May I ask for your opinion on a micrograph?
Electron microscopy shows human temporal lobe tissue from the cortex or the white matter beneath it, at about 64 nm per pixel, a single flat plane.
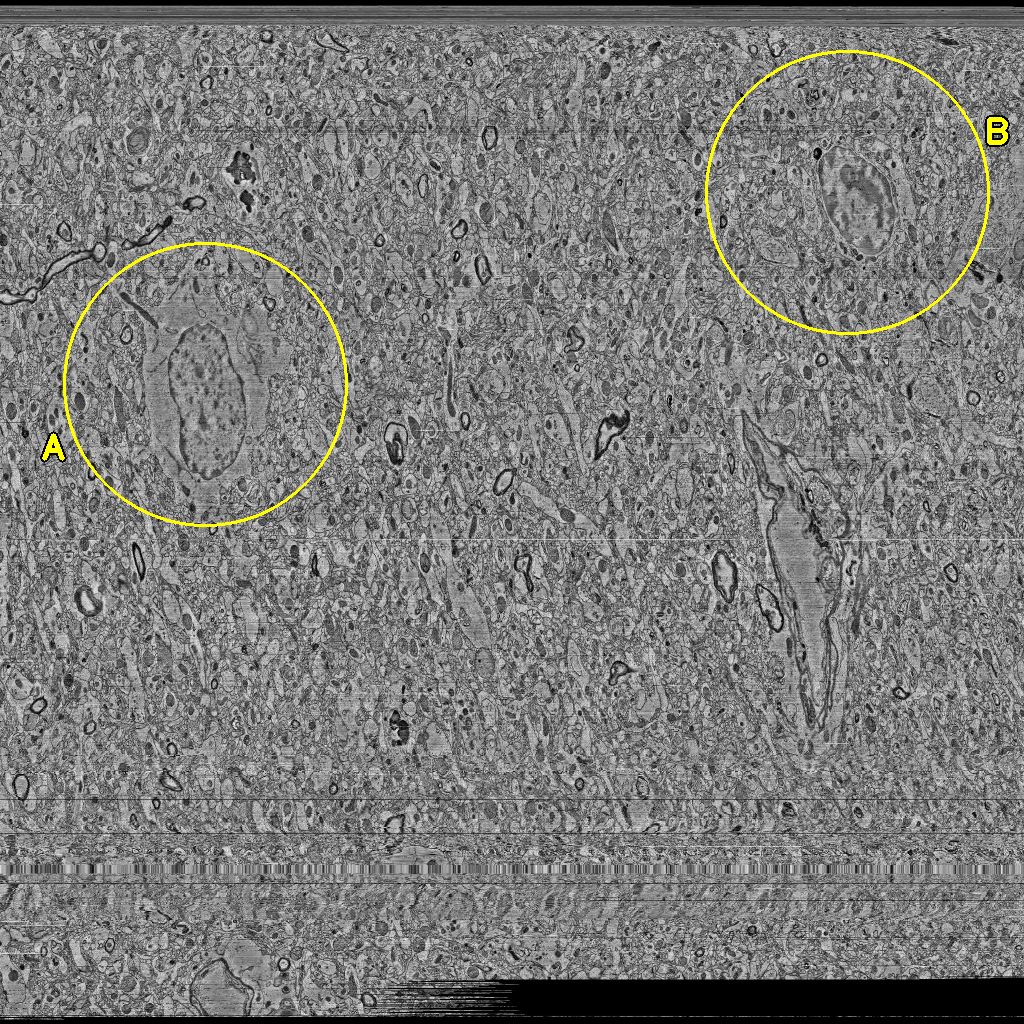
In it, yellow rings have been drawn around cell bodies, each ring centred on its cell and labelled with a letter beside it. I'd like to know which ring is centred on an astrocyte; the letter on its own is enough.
A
